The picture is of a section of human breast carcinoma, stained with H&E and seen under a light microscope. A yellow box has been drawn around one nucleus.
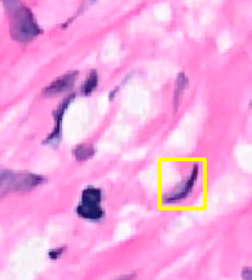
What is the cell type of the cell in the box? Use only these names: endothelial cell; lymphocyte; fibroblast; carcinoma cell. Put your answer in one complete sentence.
At the level of cell identity, the cell in the box is a fibroblast.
